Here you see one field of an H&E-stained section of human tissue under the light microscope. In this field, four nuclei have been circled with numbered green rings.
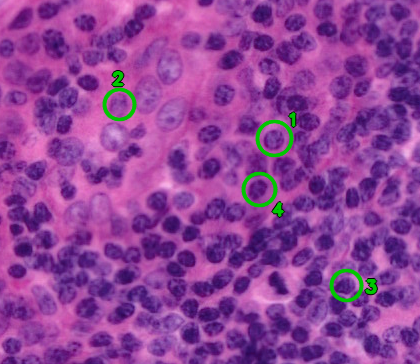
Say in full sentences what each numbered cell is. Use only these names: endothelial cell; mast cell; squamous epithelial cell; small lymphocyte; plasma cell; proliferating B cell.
Cells 1 and 4 are plasma cells. Cell 2 is an endothelial cell. Cell 3 is a small lymphocyte.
